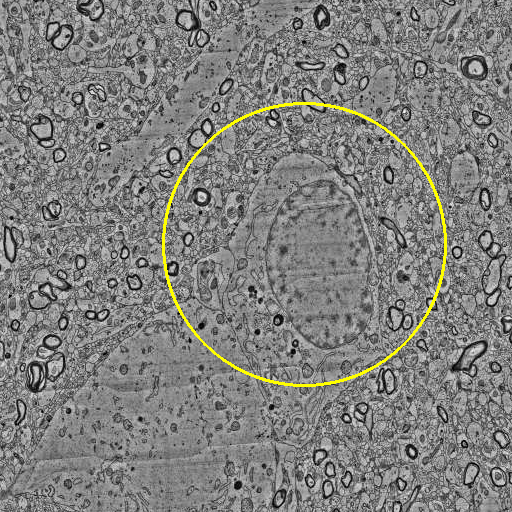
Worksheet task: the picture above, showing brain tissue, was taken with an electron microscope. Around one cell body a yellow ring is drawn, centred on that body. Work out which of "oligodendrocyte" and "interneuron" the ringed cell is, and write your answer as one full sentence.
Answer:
It is an interneuron whose cell body lies at the centre of the yellow ring.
